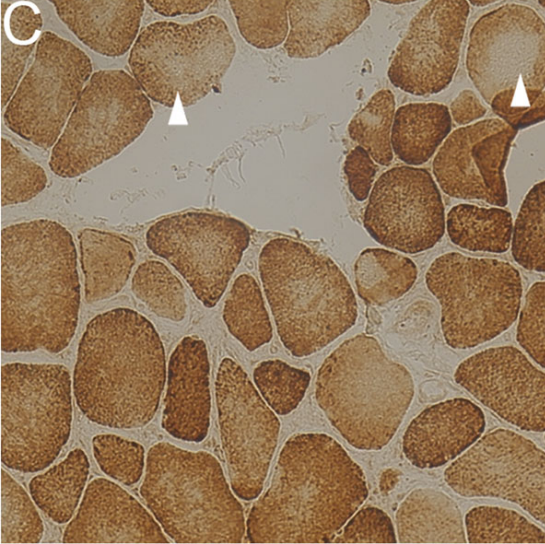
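These are skeletal muscle fibres in cross-section, stained various shades of brown. Fibre size varies, and an empty space splits the section.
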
